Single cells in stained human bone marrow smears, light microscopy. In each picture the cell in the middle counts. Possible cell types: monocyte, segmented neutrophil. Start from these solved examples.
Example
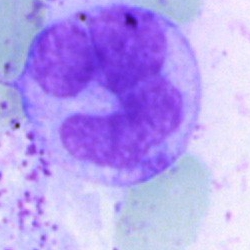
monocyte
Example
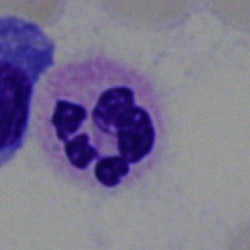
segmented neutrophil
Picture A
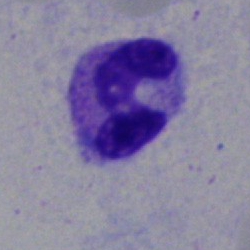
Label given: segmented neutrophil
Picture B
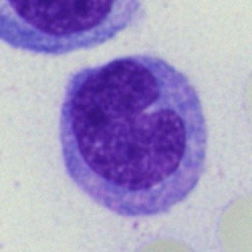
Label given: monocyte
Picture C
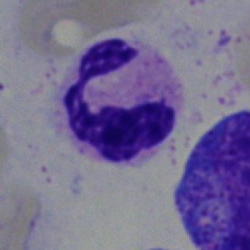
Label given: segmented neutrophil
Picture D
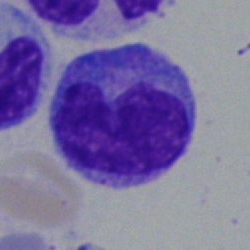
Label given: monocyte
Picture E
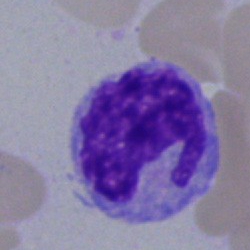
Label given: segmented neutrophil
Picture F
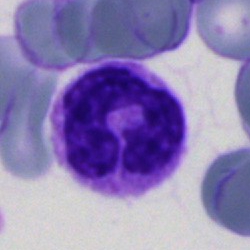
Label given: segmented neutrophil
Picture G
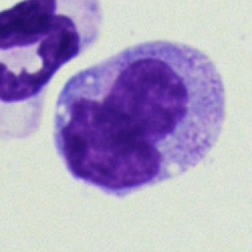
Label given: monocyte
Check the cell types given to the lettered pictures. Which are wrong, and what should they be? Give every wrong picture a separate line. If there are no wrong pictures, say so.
E: not segmented neutrophil but monocyte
